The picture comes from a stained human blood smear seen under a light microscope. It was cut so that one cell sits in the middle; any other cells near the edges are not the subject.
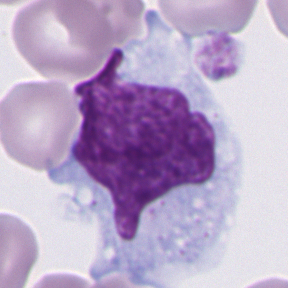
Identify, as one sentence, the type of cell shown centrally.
Here the centrally located cell is a monocyte.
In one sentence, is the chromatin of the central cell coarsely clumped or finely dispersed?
Its chromatin is finely dispersed rather than coarsely clumped.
